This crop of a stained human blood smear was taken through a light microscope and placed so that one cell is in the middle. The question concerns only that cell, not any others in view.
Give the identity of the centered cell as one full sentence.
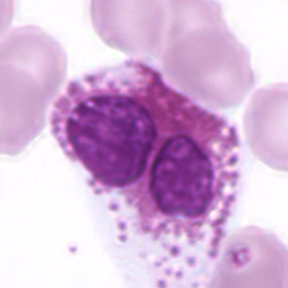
The cell nearest the centre of this crop is an eosinophil.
